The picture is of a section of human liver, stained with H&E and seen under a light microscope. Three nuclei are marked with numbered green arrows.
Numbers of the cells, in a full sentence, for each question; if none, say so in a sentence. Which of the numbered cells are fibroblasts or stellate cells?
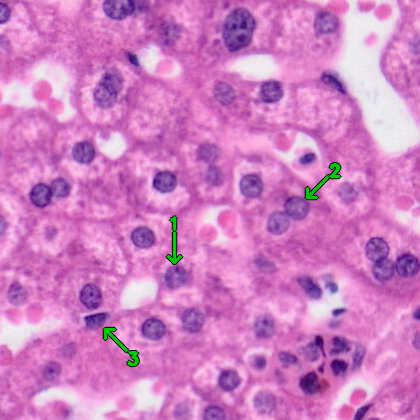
In contrast to the remaining marked cells, cell 3 is a fibroblast or stellate cell.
